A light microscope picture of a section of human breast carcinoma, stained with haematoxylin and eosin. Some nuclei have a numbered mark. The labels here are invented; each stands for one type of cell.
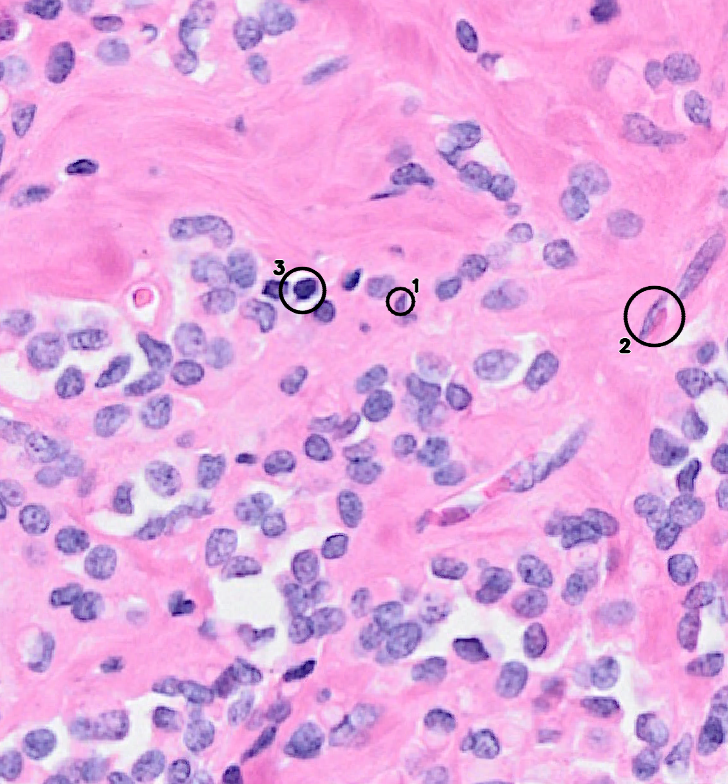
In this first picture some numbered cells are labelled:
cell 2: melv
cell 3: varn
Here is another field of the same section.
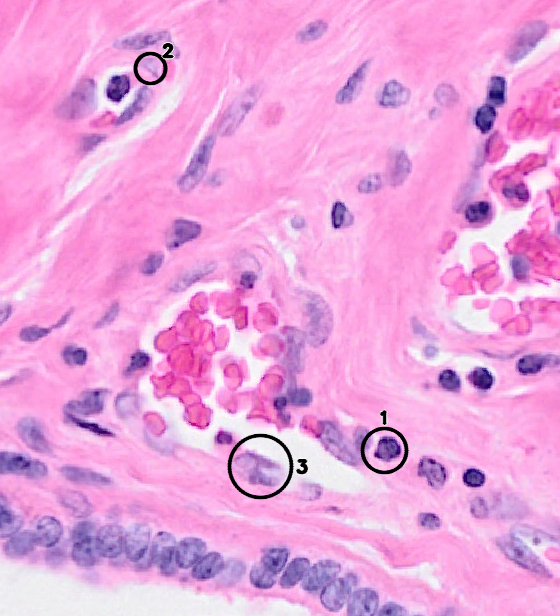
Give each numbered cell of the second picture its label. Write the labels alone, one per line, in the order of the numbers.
varn
melv
melv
